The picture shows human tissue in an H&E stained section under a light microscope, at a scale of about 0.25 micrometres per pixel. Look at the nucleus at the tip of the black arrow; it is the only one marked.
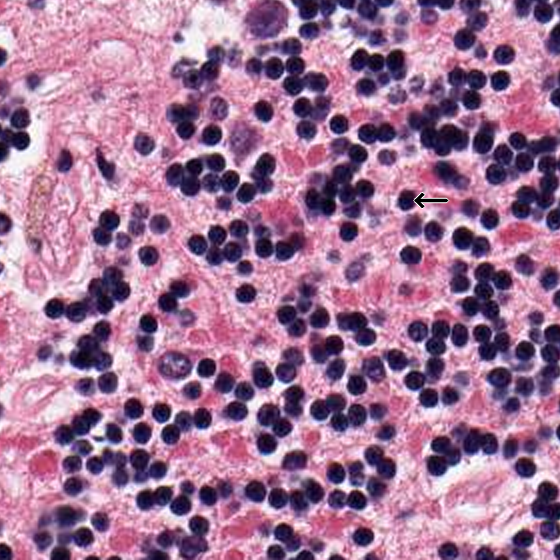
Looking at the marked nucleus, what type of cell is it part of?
cerebellar granule cell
